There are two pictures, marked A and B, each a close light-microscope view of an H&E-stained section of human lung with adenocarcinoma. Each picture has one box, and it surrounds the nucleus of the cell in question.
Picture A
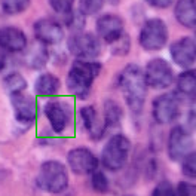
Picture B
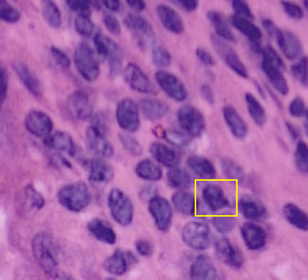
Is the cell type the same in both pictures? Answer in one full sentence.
Yes, both are lymphocytes.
